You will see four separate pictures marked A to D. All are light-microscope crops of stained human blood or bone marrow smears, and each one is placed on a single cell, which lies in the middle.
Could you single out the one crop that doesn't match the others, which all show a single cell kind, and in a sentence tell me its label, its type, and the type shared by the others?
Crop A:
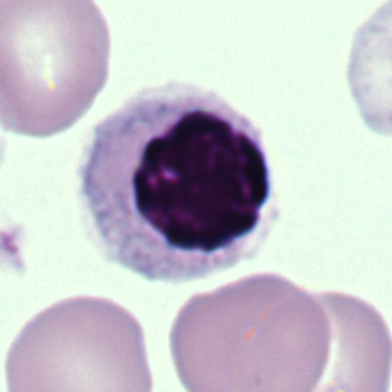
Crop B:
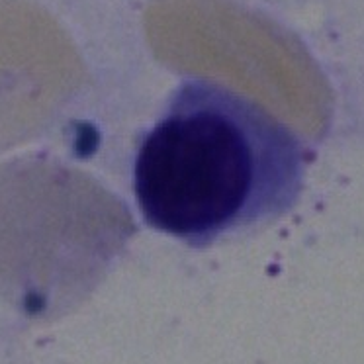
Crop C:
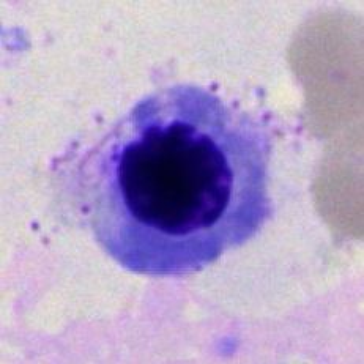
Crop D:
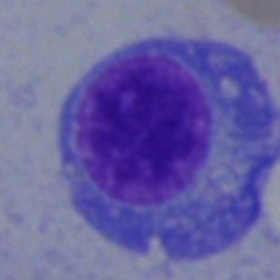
Only crop D differs, being a plasma cell, while the others all show erythroblasts.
